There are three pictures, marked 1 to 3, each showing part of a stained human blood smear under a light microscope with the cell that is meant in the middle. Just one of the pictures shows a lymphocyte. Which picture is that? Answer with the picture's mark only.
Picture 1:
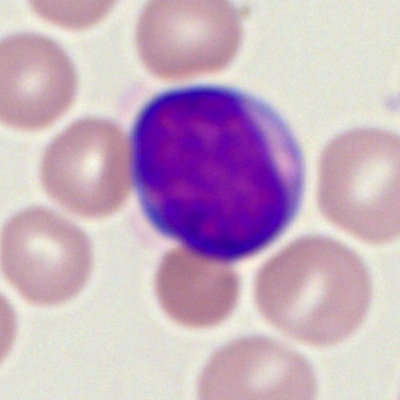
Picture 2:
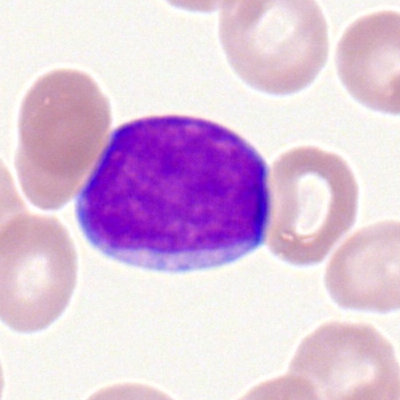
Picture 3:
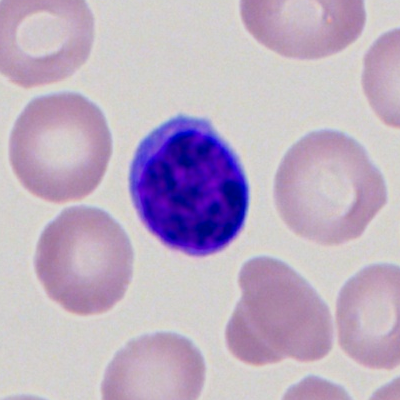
3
